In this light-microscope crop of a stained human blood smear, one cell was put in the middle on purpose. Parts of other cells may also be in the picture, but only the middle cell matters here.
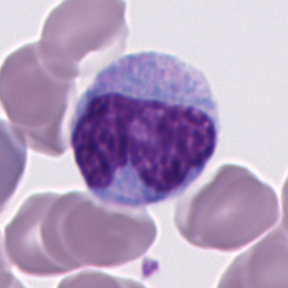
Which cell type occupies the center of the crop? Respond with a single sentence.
The cell in the middle of this crop is a monocyte.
